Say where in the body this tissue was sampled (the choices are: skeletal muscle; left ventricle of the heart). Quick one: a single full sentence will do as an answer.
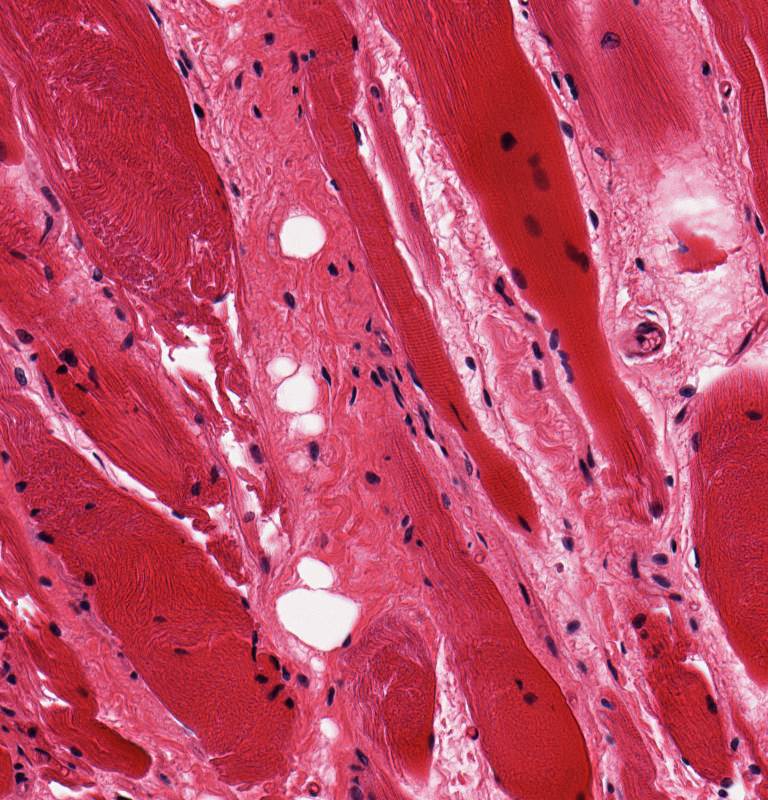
It was from the skeletal muscle that this tissue was sampled.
